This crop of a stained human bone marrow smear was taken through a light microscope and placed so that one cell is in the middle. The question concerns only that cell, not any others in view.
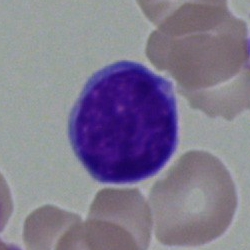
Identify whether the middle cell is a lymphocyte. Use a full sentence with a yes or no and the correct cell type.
Yes, the cell in the middle is a lymphocyte.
